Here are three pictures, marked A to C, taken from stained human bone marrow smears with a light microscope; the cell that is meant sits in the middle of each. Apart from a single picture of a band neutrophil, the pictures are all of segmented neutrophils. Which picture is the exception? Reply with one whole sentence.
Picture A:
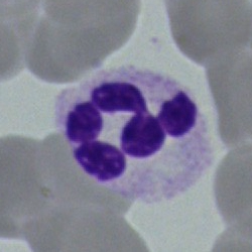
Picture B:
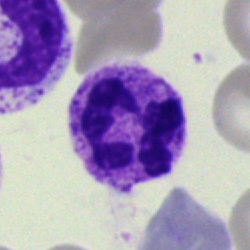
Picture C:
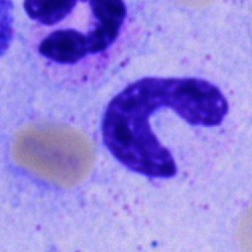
Picture C shows the band neutrophil.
